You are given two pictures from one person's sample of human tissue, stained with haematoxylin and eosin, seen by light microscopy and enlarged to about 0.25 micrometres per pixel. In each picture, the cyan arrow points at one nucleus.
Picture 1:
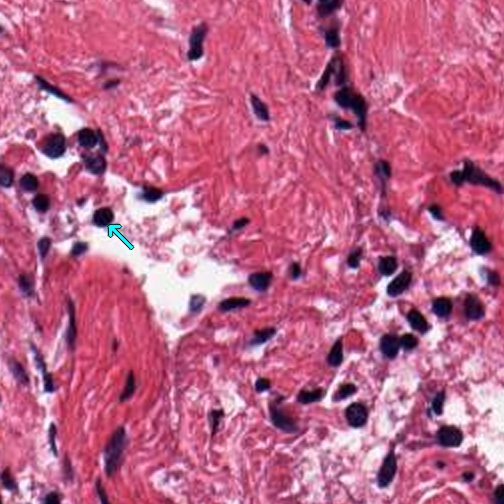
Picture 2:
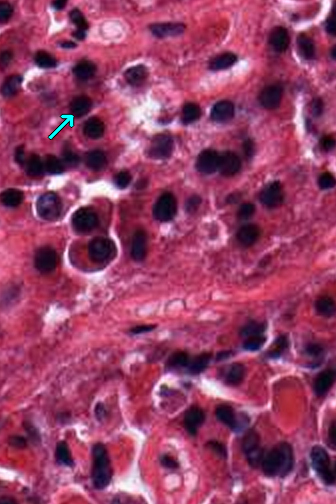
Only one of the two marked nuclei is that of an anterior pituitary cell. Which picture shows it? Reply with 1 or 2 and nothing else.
2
